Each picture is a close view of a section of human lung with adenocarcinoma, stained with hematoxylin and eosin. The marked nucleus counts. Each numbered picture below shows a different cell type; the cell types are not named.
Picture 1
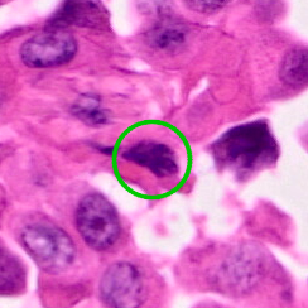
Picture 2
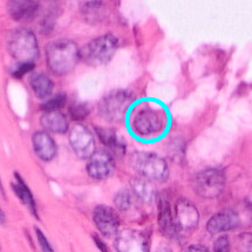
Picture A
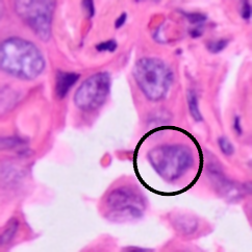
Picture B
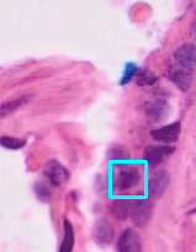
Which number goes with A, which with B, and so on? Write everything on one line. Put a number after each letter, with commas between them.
A 1, B 2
